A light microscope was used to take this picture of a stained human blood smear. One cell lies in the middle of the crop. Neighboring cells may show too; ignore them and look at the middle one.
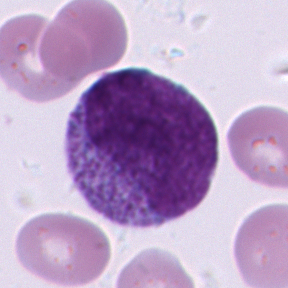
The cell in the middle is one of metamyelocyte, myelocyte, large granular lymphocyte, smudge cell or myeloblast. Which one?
myelocyte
